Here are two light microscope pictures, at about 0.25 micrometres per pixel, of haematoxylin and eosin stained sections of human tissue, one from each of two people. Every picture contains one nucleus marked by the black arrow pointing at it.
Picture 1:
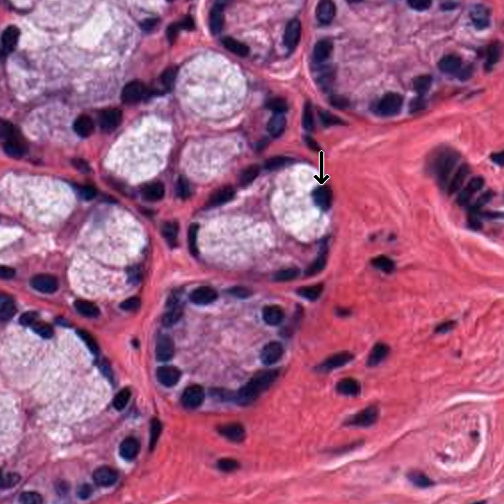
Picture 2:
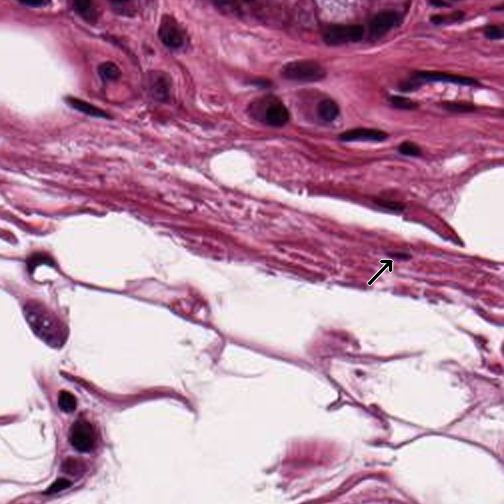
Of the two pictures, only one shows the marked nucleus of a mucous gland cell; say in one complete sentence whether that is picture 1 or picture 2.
The marked nucleus in picture 1 is identified as that of a mucous gland cell.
